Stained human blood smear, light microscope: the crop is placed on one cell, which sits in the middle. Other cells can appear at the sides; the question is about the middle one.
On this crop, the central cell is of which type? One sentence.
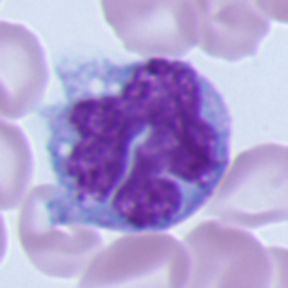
Where the crop is centred, there is a monocyte.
